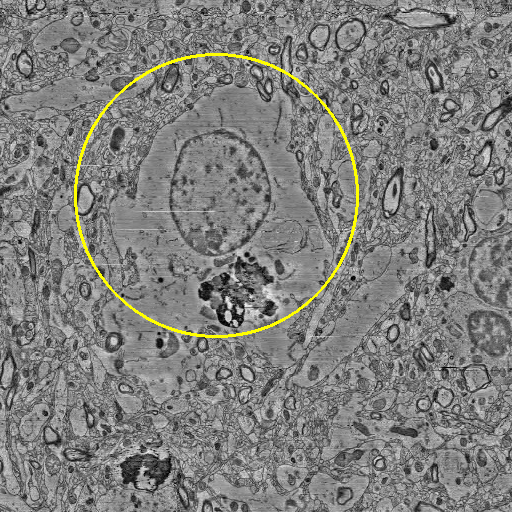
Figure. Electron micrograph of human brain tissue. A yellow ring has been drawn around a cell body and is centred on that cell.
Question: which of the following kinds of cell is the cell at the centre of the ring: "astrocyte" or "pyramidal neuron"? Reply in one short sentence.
The cell at the centre of the ring is an astrocyte.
